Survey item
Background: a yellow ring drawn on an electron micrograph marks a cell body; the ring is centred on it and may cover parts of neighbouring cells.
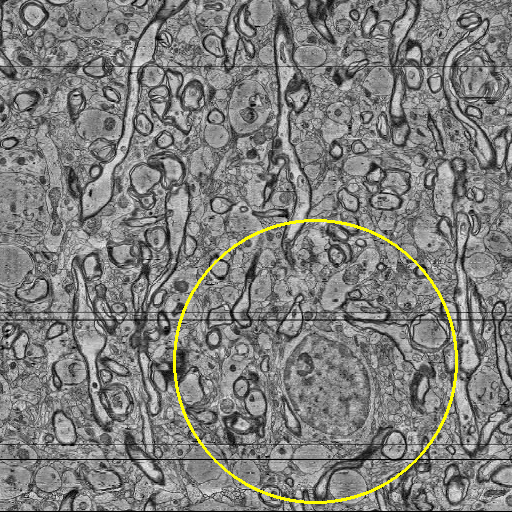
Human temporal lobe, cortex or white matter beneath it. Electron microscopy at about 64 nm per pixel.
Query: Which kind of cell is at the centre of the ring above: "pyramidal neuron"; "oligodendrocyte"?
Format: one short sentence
The cell in the middle of the ring is an oligodendrocyte.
